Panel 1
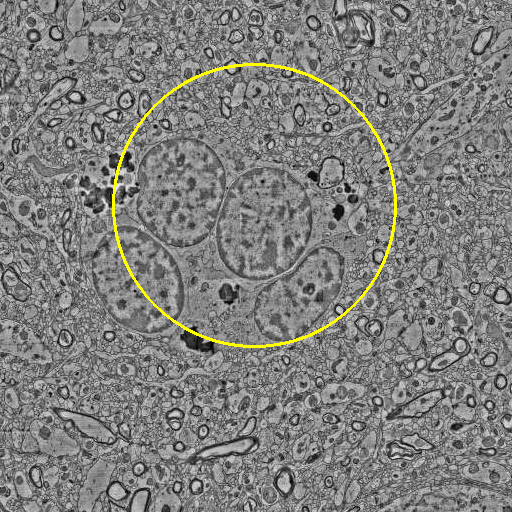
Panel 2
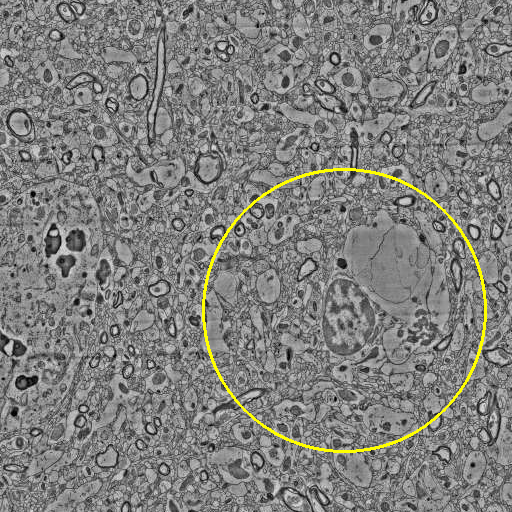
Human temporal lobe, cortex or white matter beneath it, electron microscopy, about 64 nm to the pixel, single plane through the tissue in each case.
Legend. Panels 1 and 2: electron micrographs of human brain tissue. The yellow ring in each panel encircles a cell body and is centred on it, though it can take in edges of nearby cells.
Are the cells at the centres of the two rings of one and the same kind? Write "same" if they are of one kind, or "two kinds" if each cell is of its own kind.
two kinds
